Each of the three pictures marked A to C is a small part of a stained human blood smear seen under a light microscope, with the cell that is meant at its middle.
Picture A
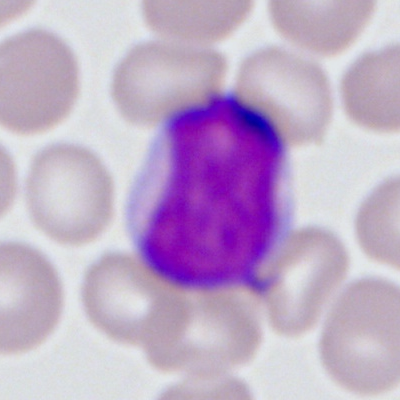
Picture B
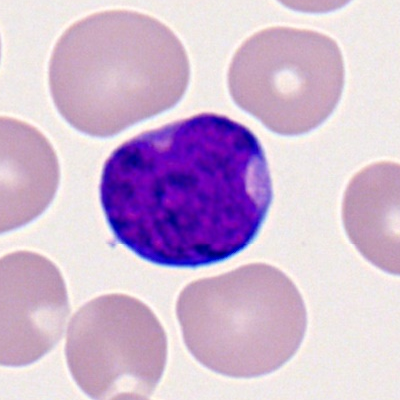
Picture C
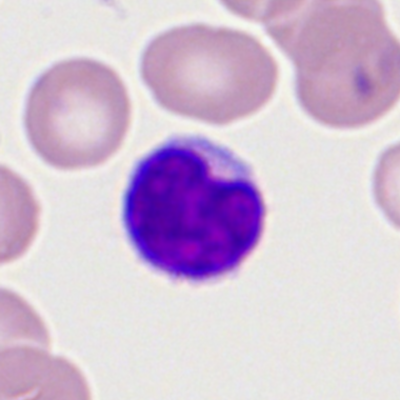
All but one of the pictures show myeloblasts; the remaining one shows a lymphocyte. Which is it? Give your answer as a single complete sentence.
The picture with the lymphocyte is C.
